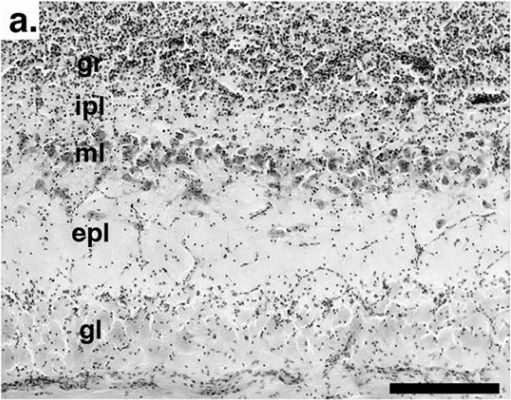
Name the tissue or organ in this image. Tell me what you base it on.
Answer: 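Distinct horizontal layers stacked from bottom to top. A superficial zone of clustered small nuclei at the bottom, then a pale, sparsely nucleated band. A row of large dark cell bodies beneath a densely packed layer of small cells.
Olfactory bulbs.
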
